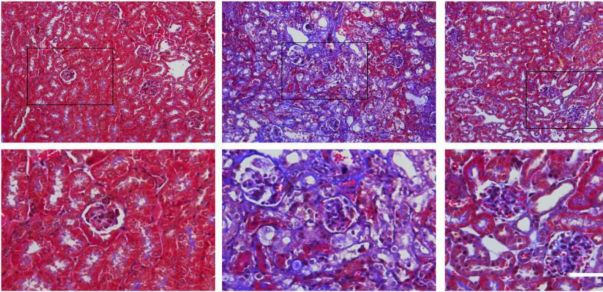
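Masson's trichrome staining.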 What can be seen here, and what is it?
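In the middle field broad blue bands spread through the interstitium around tubules and glomeruli, and the tubules themselves look disorganised. The last field shows more blue than the first but far less than the middle one, with tubules still largely red and regular.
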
